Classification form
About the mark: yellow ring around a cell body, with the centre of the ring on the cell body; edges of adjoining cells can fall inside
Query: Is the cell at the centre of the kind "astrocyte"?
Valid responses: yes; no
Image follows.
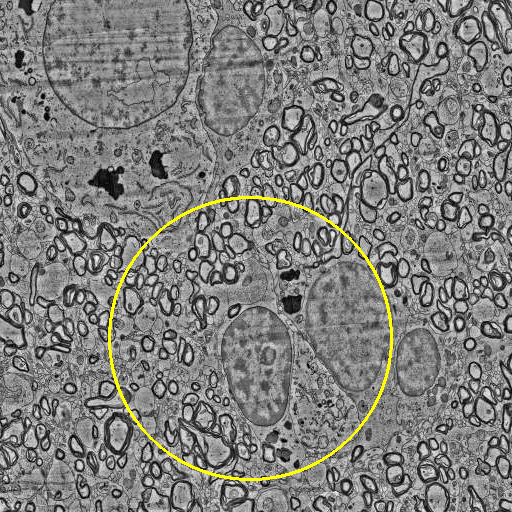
no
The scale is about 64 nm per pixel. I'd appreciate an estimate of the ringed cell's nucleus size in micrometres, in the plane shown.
In this plane, the nucleus is roughly 8 by 5 micrometres.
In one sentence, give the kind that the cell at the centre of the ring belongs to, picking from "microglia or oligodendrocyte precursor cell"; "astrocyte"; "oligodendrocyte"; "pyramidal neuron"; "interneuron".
Sitting at the ring centre is a microglial cell or oligodendrocyte precursor cell.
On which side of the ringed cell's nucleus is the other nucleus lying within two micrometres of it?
The other one is to the upper right of it.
